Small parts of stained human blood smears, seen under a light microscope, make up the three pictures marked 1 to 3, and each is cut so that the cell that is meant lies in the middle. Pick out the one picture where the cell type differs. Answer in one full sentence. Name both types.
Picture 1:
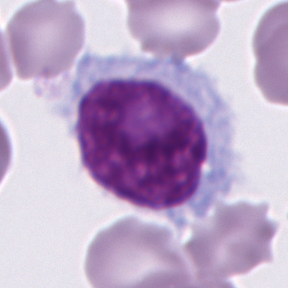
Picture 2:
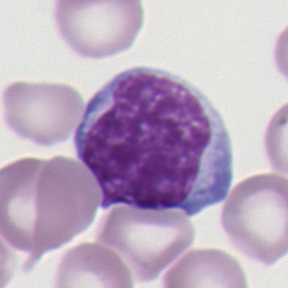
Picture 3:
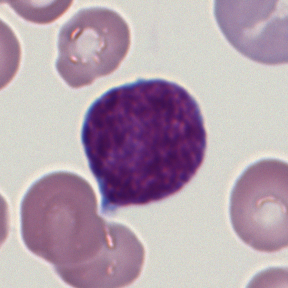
The different one is picture 1; it shows a hairy cell, whereas all the others show myeloblasts.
